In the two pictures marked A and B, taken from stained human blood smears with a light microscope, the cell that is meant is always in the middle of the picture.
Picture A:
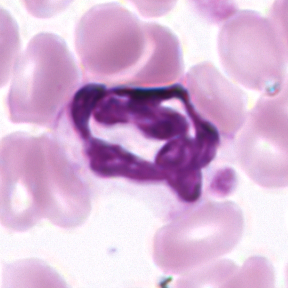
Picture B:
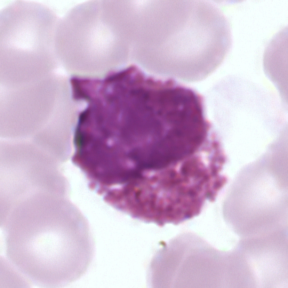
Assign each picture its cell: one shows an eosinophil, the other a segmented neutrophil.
A: segmented neutrophil
B: eosinophil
